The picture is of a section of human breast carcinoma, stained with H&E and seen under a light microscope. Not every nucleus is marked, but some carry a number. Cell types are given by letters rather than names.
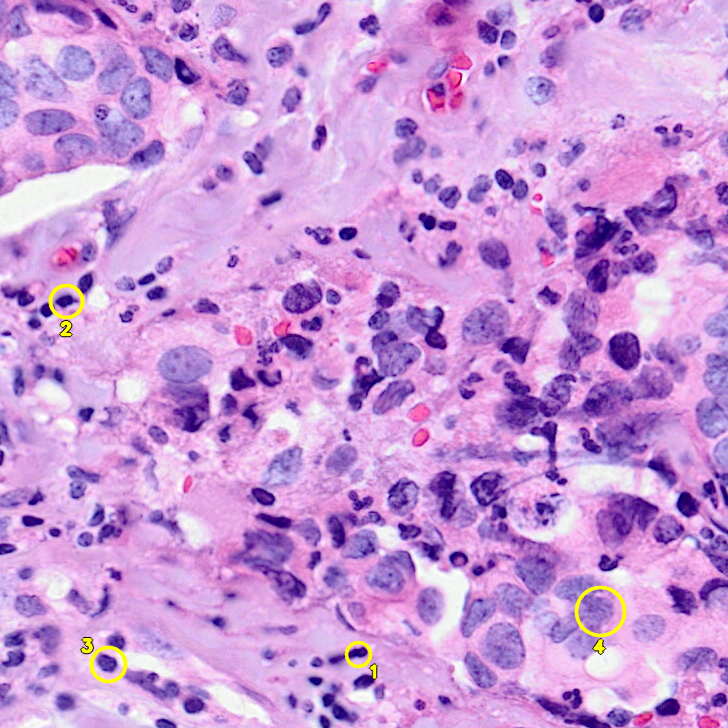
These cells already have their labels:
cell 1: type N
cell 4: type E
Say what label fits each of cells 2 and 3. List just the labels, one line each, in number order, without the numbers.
type N
type N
